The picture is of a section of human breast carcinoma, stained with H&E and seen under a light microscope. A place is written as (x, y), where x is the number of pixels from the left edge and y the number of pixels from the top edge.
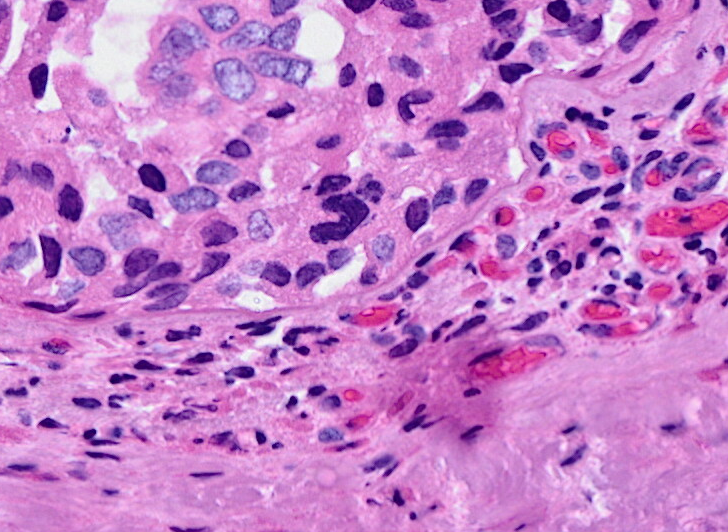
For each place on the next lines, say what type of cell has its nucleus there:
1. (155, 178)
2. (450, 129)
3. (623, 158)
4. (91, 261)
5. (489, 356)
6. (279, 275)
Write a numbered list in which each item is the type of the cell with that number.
1. carcinoma cell
2. carcinoma cell
3. endothelial cell
4. carcinoma cell
5. endothelial cell
6. carcinoma cell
